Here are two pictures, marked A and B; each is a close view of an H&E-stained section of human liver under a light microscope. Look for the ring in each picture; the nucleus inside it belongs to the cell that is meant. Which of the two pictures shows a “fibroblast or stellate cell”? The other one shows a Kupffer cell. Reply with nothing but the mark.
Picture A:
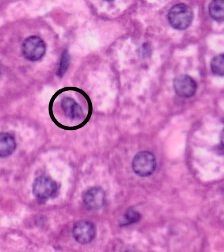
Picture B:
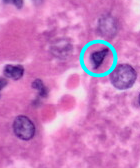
B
